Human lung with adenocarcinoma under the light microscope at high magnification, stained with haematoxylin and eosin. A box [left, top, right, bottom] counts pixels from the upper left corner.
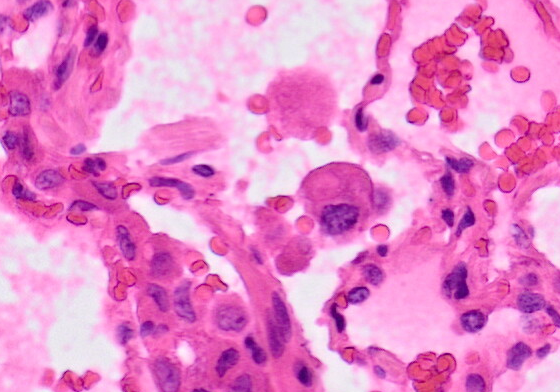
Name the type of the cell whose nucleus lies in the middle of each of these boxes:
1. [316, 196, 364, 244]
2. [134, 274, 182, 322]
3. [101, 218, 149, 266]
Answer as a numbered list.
1. carcinoma cell
2. macrophage or monocyte
3. macrophage or monocyte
